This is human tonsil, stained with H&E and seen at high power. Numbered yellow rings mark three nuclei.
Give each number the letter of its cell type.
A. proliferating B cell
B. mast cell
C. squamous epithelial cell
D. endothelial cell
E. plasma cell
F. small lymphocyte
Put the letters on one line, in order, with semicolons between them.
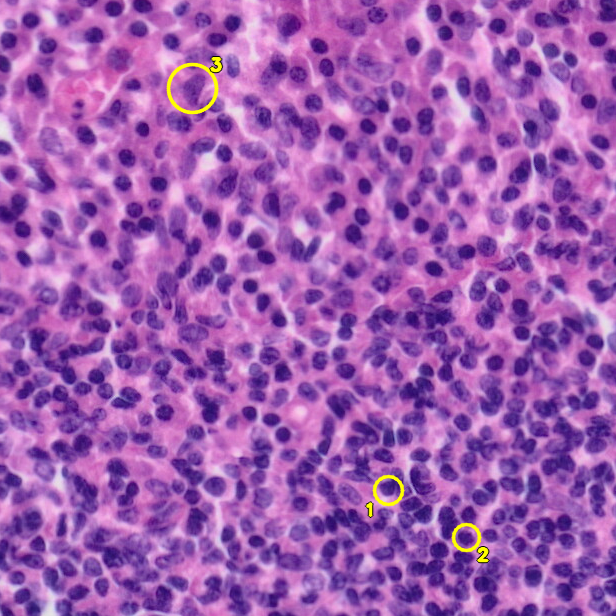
F; F; C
